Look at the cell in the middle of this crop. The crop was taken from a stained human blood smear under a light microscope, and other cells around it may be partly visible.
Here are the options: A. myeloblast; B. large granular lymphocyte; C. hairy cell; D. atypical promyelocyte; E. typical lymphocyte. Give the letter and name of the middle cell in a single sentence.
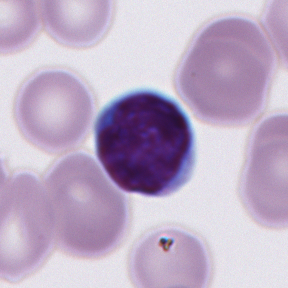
That the central cell is a typical lymphocyte makes option E correct.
